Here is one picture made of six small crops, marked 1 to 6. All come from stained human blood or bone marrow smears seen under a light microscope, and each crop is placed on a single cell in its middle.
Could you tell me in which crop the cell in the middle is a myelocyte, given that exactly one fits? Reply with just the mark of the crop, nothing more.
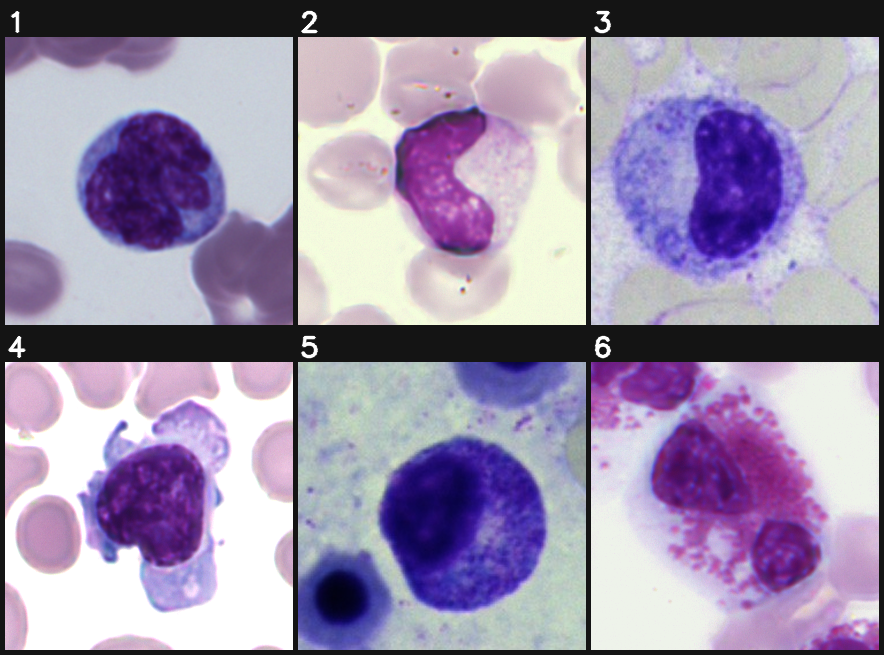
5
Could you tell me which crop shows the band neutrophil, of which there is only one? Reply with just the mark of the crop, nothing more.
2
